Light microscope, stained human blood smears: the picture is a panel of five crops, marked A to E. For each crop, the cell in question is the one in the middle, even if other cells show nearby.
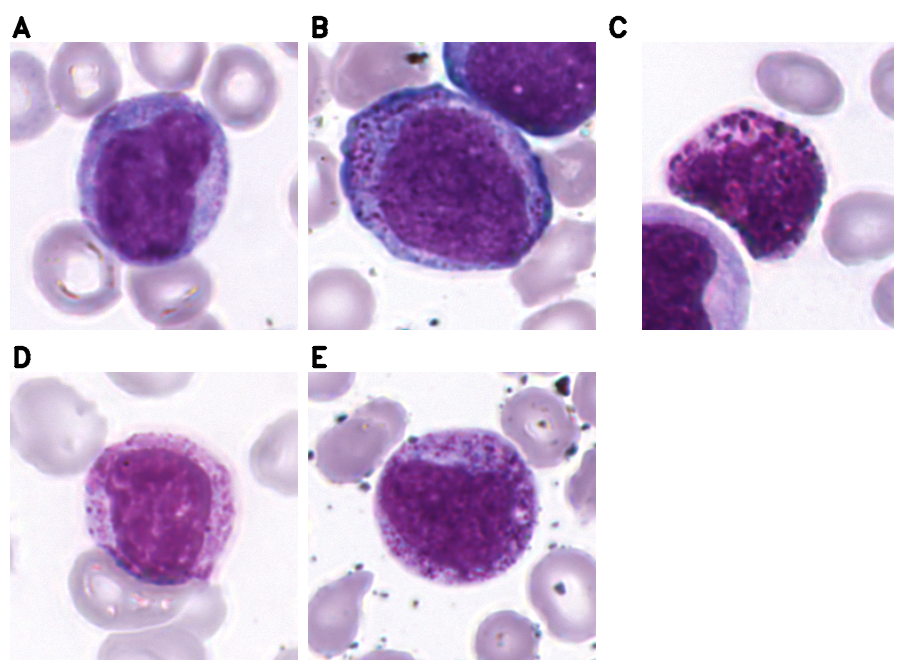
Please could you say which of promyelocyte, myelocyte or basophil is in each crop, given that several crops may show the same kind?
A: promyelocyte
B: promyelocyte
C: basophil
D: myelocyte
E: promyelocyte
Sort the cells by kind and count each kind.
promyelocyte: 3
basophil: 1
myelocyte: 1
